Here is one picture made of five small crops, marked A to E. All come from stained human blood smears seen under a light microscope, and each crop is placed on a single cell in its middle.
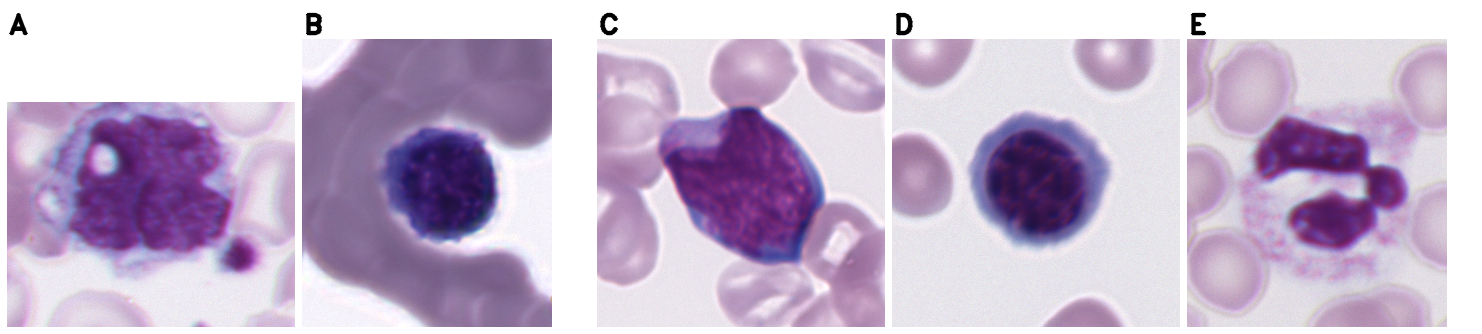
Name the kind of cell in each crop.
A: monocyte
B: plasma cell
C: myeloblast
D: normoblast
E: segmented neutrophil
